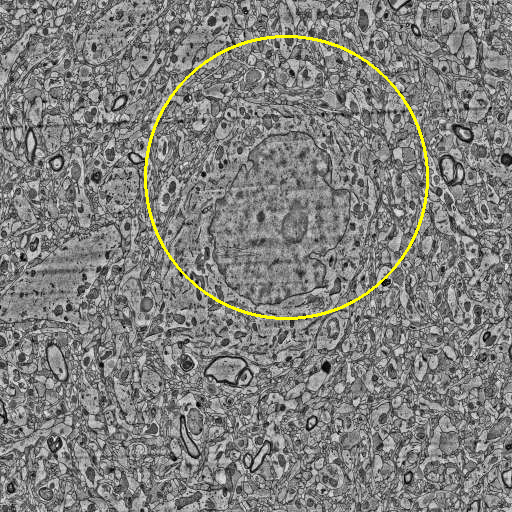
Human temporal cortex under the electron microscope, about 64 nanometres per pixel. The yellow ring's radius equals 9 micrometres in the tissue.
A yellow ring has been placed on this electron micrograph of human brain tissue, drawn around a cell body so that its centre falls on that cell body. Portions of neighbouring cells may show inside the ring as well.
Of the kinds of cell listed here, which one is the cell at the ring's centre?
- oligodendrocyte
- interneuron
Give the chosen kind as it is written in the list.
interneuron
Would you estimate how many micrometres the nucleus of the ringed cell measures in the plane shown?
In this plane, the nucleus of the cell at the centre of the ring measures about 11 by 8 micrometres.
